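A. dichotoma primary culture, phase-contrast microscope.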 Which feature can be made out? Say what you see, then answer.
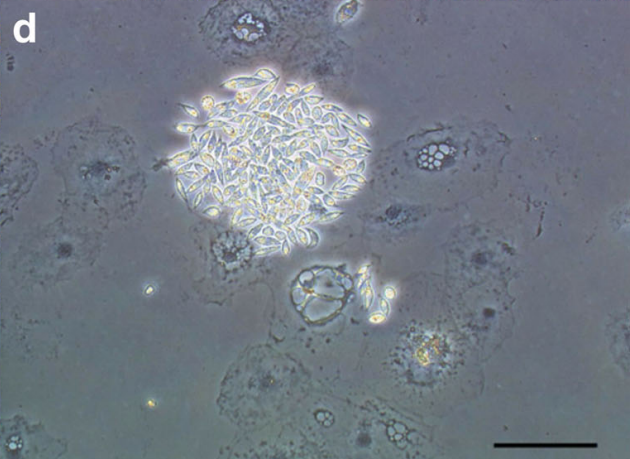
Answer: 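A compact round cluster of bright elongated cells in the centre. Cells in the cluster taper at both ends. Large flat vacuolated cells lie scattered around the cluster.
A colony of spindle-shaped cells.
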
